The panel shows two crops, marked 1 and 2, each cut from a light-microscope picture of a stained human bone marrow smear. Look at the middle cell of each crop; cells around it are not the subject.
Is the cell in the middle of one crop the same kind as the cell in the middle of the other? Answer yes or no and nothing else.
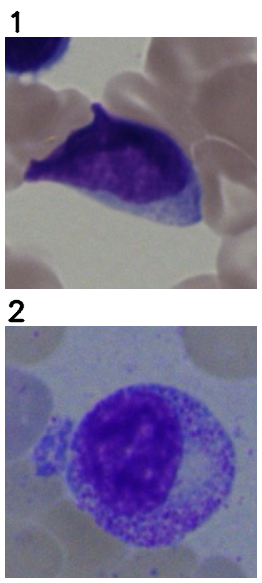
no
